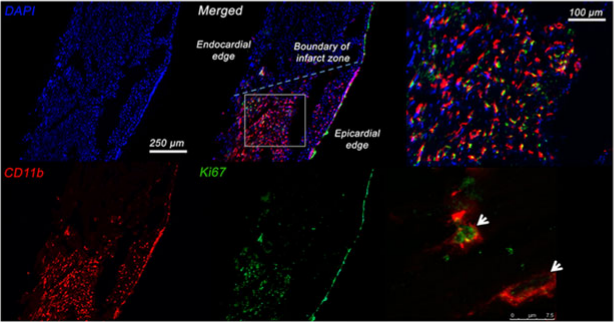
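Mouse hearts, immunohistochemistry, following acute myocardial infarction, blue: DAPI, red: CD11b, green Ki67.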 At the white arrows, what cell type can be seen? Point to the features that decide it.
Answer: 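Leukocytes. Green signal lies inside the red-outlined cells the arrows mark.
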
